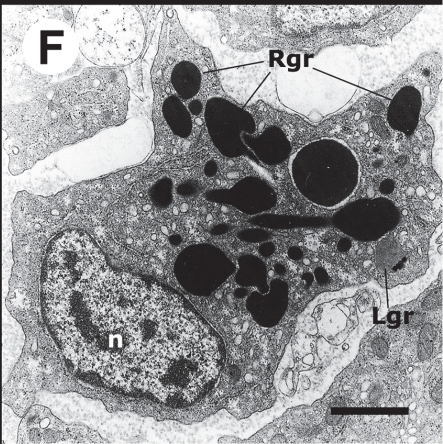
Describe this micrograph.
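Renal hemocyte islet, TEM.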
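Numerous small clear vesicles fill the cytoplasm around the granules. The neighbouring intercellular space holds fine granular material and membrane fragments.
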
